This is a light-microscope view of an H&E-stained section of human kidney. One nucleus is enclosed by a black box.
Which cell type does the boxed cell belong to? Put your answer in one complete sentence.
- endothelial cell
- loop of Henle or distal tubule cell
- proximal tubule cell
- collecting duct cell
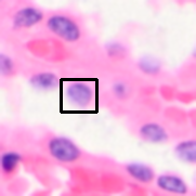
Within this tissue, the boxed cell is a loop of Henle or distal tubule cell.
